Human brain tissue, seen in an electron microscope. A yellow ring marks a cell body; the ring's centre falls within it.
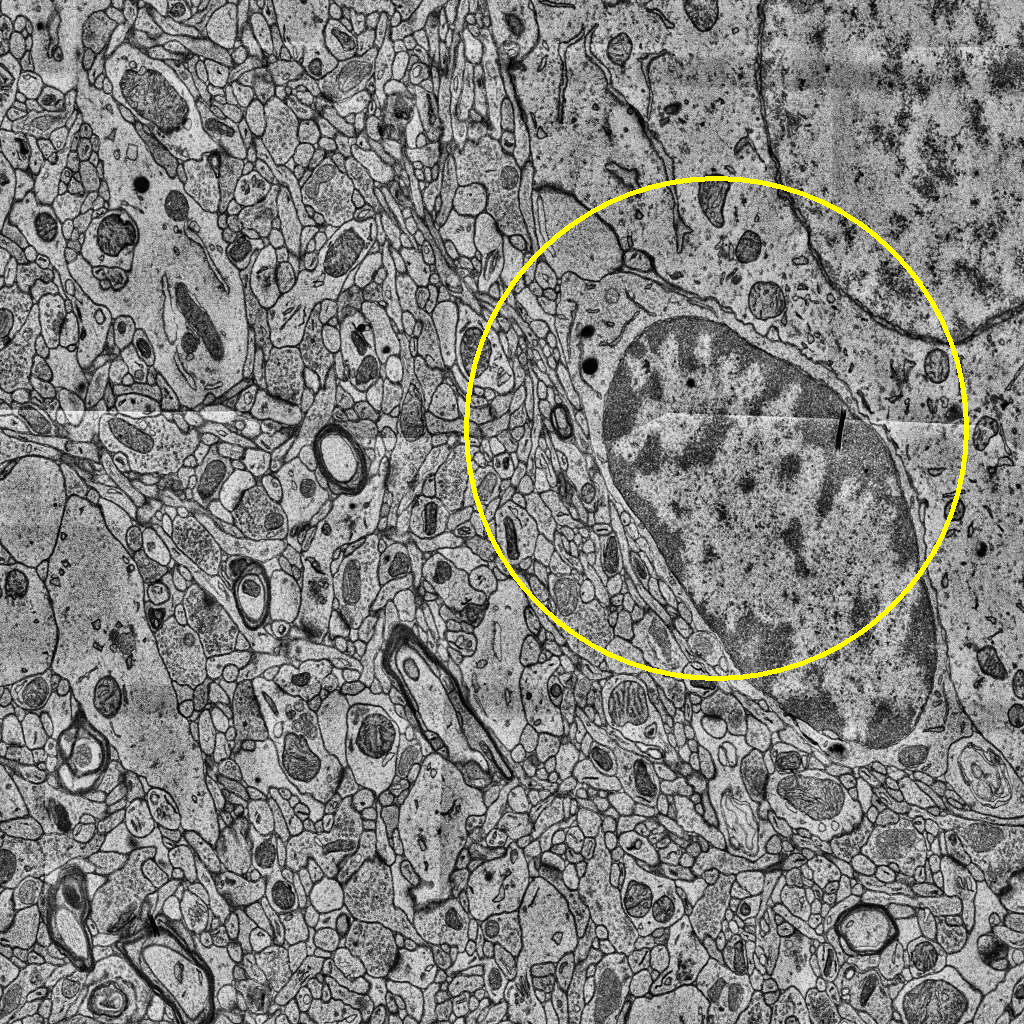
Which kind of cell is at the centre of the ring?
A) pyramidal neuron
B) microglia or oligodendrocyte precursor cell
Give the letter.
B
